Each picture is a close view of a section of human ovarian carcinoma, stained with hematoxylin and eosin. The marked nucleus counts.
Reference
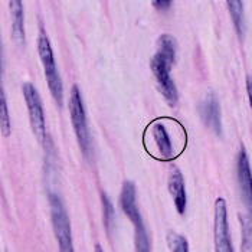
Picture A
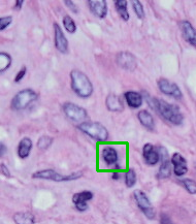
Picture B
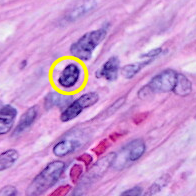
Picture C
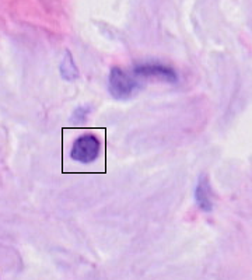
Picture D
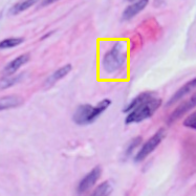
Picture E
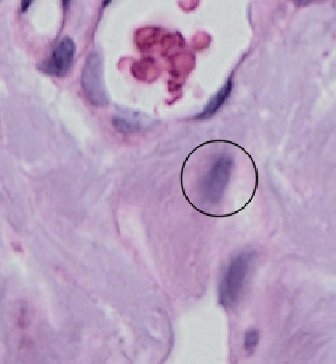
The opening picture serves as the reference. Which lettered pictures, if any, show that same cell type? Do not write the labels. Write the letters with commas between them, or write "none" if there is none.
none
